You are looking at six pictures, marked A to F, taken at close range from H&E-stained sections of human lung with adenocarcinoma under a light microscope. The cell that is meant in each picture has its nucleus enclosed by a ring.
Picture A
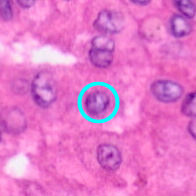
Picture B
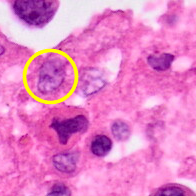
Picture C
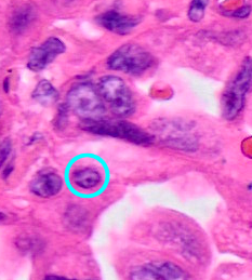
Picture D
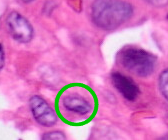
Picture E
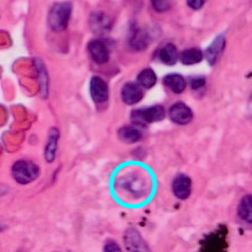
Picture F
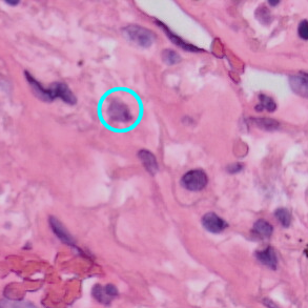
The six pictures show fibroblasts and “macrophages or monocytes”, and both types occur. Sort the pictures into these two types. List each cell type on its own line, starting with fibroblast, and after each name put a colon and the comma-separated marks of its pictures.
fibroblast: E, F
macrophage or monocyte: A, B, C, D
